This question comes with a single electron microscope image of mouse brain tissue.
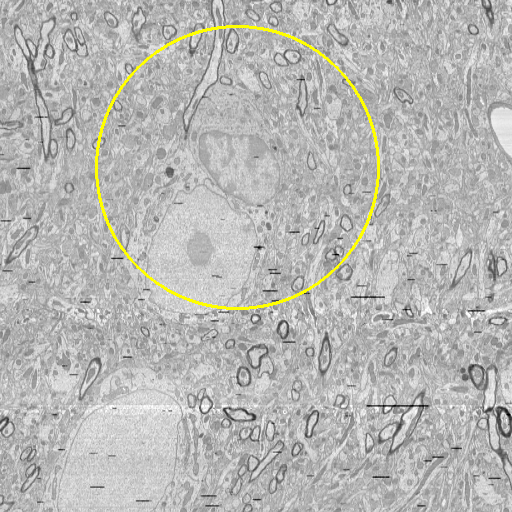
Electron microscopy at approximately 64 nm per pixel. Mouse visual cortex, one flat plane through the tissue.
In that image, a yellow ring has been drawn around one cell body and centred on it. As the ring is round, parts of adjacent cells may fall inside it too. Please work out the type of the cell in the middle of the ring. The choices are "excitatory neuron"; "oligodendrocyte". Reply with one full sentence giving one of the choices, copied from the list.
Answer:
Of the choices, an oligodendrocyte is the cell sitting in the middle of the ring.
